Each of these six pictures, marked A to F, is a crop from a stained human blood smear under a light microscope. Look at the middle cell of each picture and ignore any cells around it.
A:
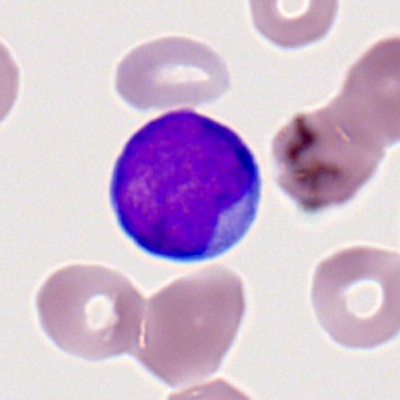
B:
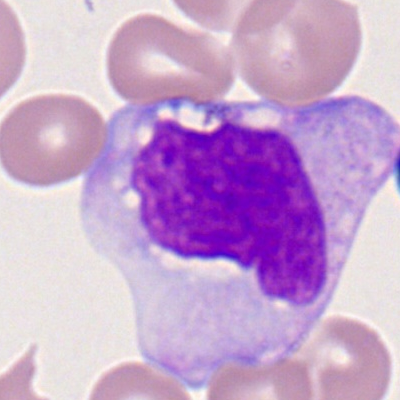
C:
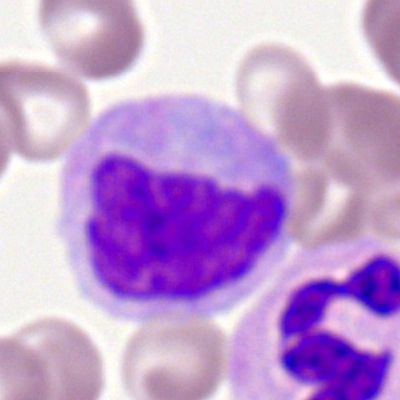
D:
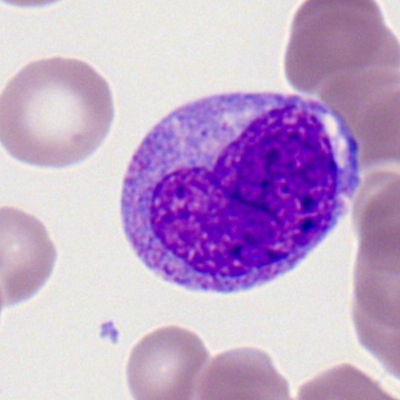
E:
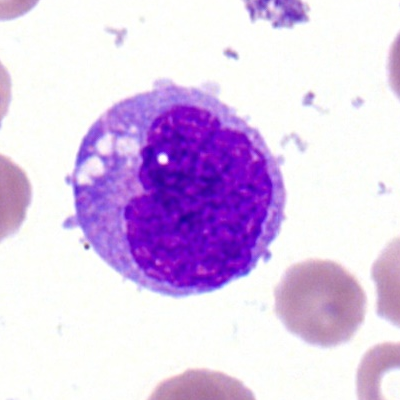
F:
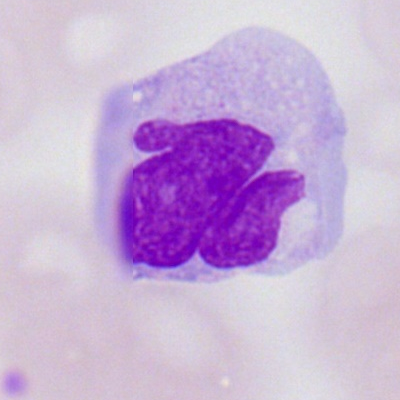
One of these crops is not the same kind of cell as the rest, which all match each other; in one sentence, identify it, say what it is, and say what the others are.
In contrast to the other crops, all of which show monocytes, crop A shows a myeloblast.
